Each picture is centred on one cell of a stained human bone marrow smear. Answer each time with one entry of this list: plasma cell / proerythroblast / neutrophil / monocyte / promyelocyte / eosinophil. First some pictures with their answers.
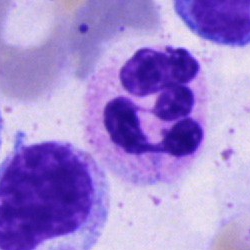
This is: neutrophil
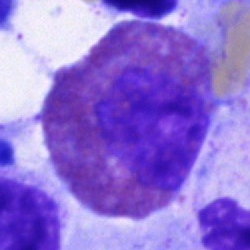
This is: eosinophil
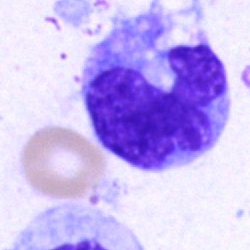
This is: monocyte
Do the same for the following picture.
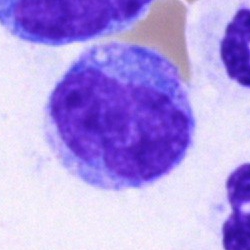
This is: monocyte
